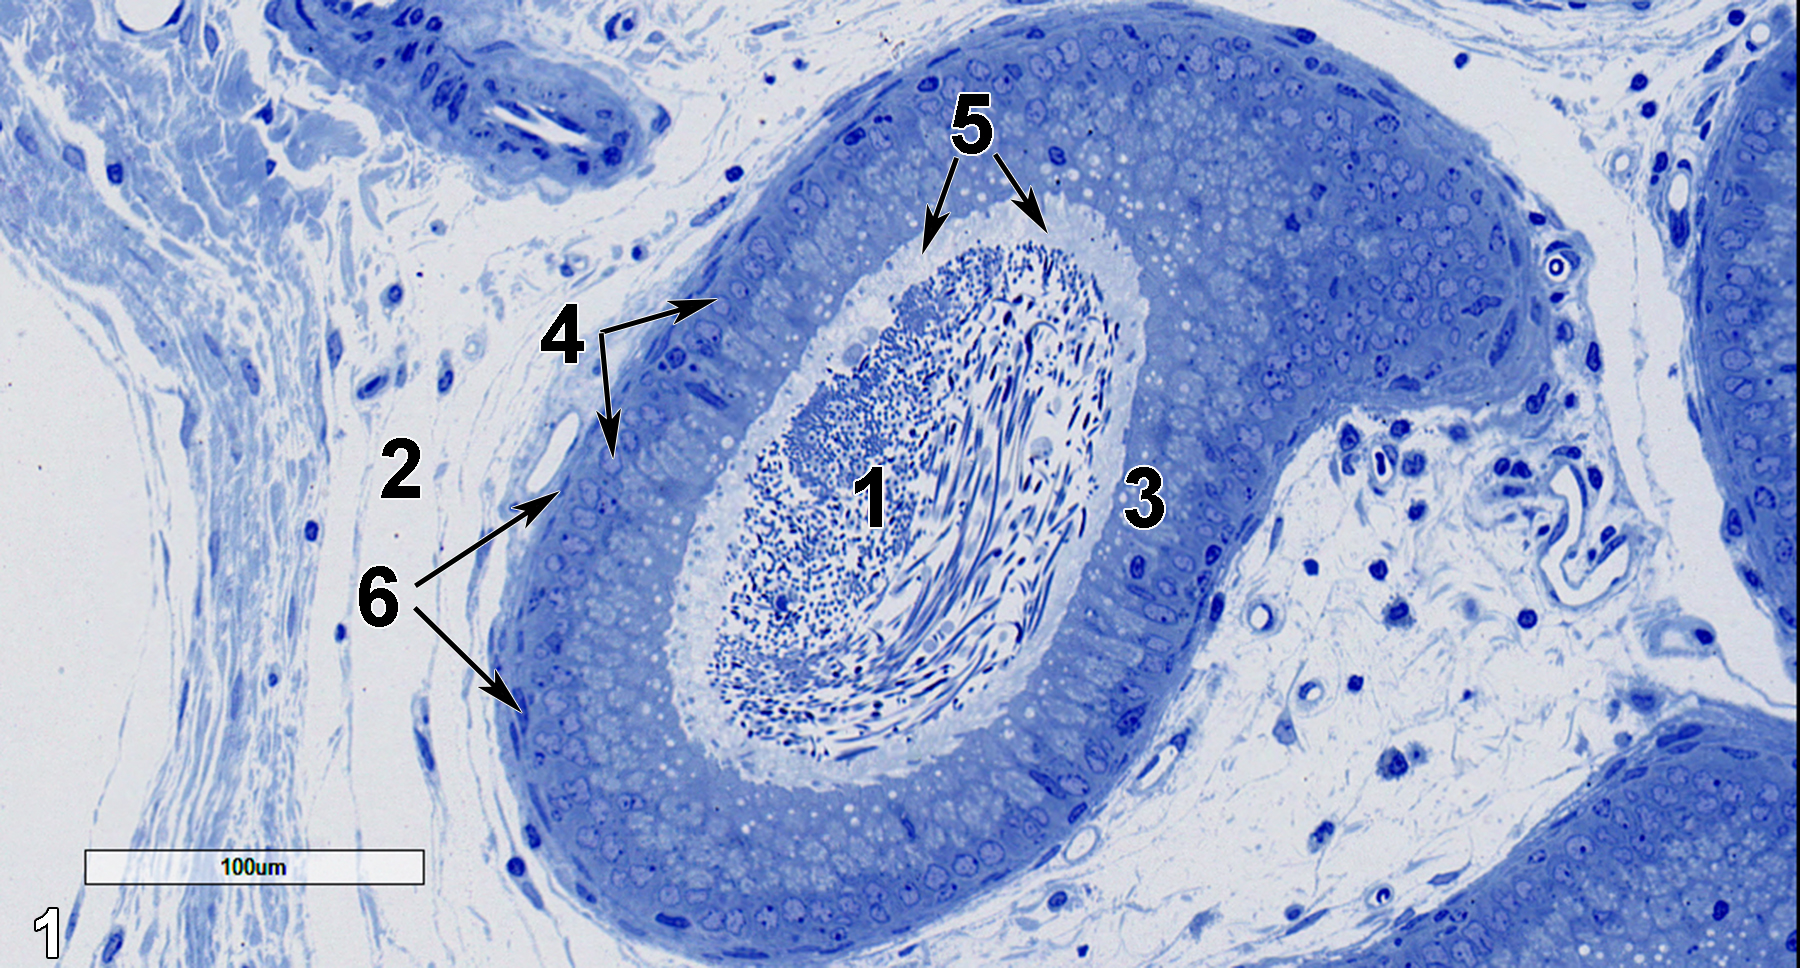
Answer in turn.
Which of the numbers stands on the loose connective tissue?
Number 2.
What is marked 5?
At 5: stereocilia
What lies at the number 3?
The number 3 marks the columnar epithelial cells.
